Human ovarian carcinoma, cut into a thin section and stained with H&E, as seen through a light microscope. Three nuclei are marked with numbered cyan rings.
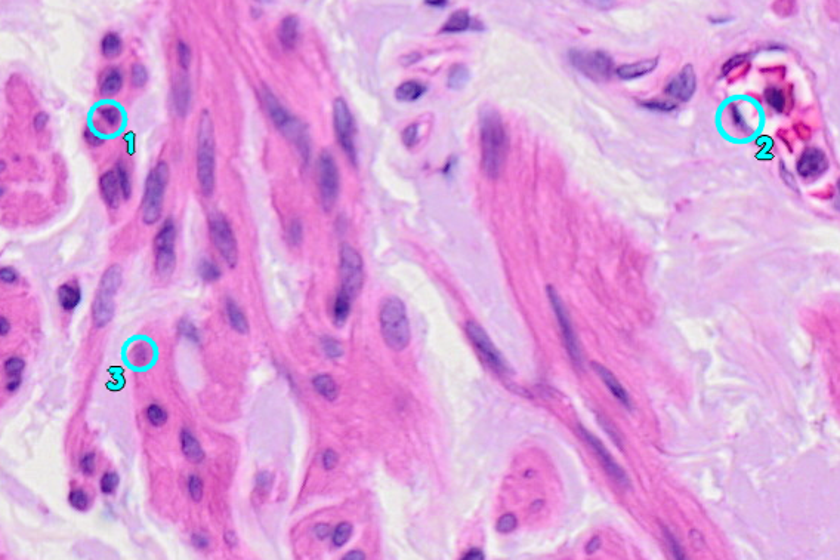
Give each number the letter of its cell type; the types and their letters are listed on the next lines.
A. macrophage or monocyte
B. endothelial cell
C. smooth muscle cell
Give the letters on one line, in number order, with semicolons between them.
C; B; C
